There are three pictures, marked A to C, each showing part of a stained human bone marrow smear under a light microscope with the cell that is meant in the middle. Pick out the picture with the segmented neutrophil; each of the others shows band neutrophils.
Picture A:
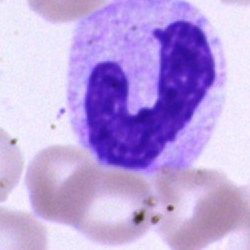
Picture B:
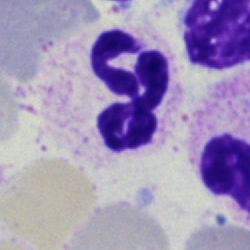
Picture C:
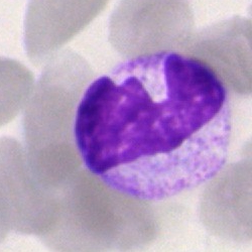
B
